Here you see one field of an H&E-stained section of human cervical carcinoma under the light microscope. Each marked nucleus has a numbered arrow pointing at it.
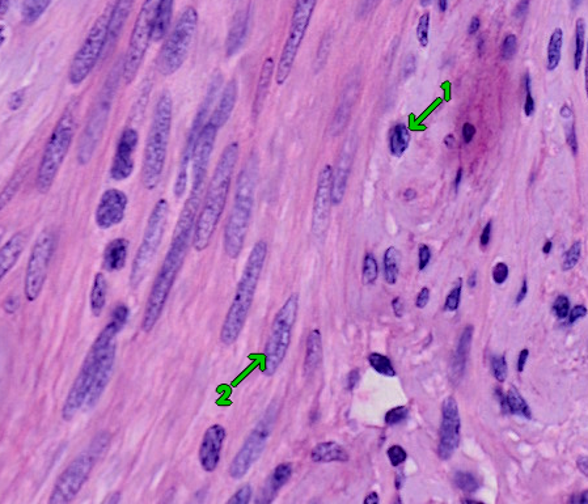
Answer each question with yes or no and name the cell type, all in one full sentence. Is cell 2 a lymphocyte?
No, the marked cell 2 is not a lymphocyte, being instead a smooth muscle cell.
